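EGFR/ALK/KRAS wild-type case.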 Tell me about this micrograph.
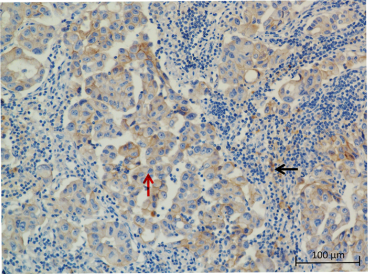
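A section of lung tumor shows nests and cords of large tumor cells with abundant, faintly brown cytoplasm and large, pale nuclei. Between the nests run bands of small immune cells with round, dark blue nuclei and scant cytoplasm. The brown staining of the tumor cells is light and patchy rather than sharply outlining the membranes.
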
